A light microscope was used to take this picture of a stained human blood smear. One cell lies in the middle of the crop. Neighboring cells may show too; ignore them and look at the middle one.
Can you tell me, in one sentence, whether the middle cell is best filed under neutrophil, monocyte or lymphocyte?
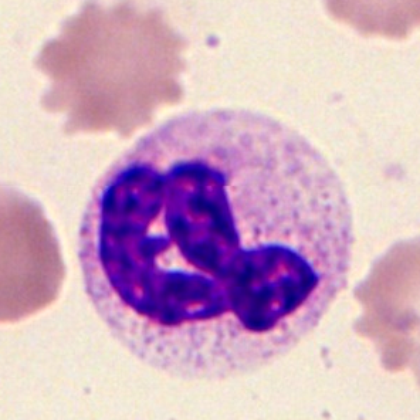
The crop centres on a single cell, and that cell is a neutrophil.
